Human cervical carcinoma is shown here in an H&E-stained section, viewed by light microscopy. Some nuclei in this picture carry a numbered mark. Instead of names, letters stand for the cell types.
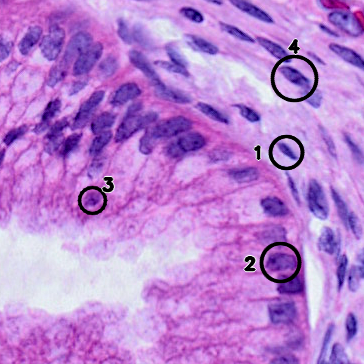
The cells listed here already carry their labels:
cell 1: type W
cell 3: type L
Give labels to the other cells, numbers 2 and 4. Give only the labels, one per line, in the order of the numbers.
type L
type W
